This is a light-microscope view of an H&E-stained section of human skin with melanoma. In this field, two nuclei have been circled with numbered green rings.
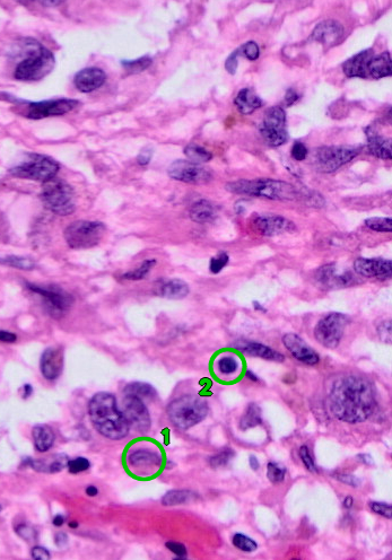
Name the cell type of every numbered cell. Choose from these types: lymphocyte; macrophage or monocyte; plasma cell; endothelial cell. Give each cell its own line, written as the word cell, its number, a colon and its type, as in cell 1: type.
cell 1: macrophage or monocyte
cell 2: lymphocyte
